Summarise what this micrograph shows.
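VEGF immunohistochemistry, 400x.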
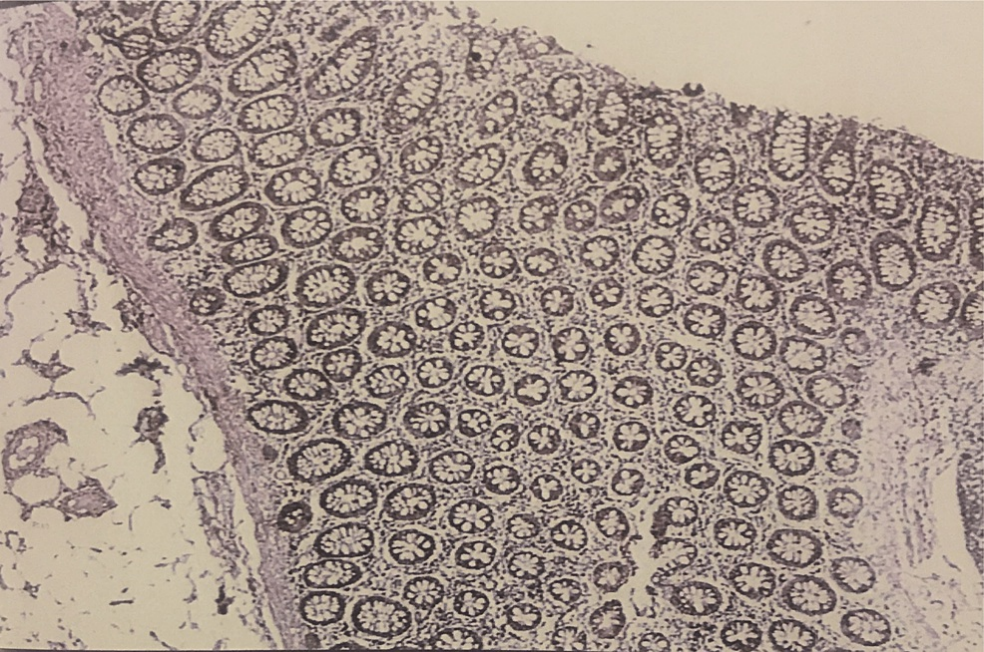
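Crowded, evenly spaced round glands are cut straight across. Each gland is a ring of epithelial cells with dark nuclei along its outer edge and pale, clear cells radiating toward a small central lumen, which gives a flower-like look. Cellular stroma with many small nuclei fills the narrow spaces between the glands. Along the left edge, a dense band separates this layer from loose tissue of large empty spaces, and the whole picture matches the crypts of colonic mucosa with its goblet cells.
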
